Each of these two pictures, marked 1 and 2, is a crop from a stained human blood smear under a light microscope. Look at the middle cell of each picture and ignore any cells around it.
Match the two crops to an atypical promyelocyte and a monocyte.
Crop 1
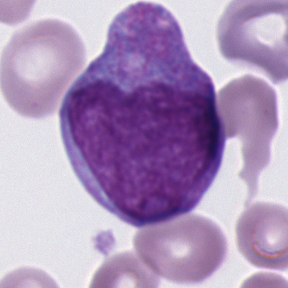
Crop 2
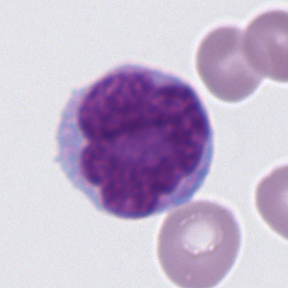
1: atypical promyelocyte
2: monocyte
